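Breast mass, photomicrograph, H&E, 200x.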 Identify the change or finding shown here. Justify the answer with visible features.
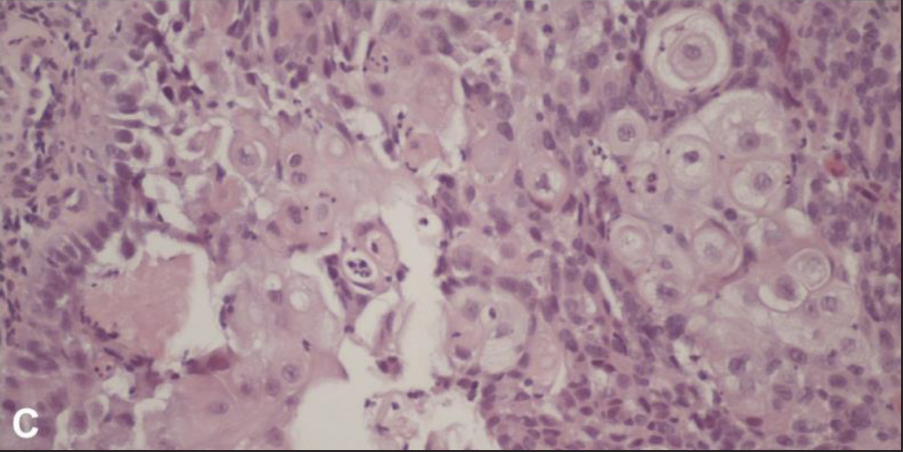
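Squamous cell differentiation. Large polygonal cells with abundant pink cytoplasm and sharp cell borders. Some cells show concentric, whorled pink layering around a nucleus.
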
